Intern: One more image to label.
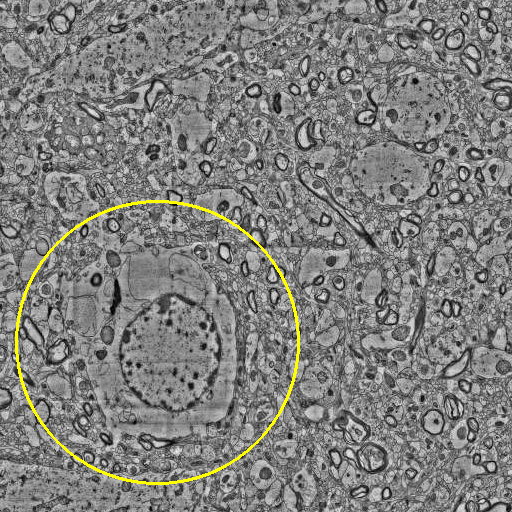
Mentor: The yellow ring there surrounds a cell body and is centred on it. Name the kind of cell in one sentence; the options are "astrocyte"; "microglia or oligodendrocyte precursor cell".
The ring marks the cell body of an astrocyte.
